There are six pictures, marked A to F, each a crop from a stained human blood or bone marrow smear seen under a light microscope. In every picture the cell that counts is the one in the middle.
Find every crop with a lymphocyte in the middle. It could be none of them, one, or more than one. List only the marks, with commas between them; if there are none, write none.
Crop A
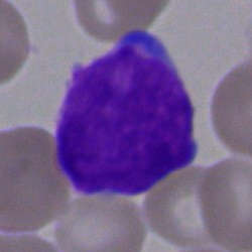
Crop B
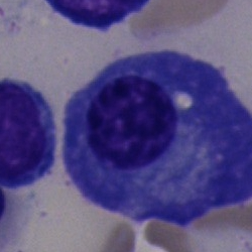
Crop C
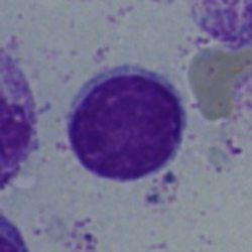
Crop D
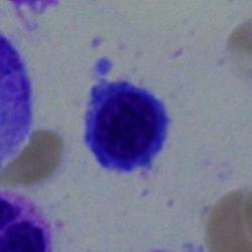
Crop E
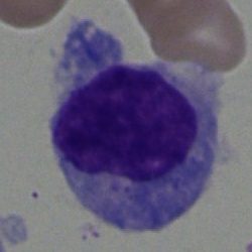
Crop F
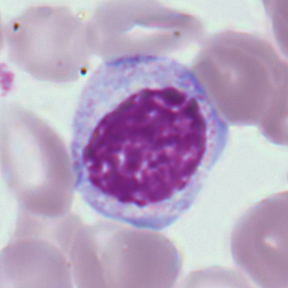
C, D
